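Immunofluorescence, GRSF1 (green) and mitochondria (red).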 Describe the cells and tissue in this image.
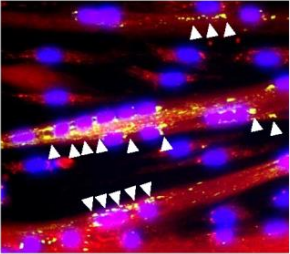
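Myotubes in culture: long, roughly parallel fibre-like cells crossing the field, several holding rows of closely spaced oval blue nuclei along their length. Red cytoplasmic fluorescence fills the fibres, strongest around the nuclear rows. Smaller mononucleated cells with less cytoplasm lie between the fibres. Background between cells is dark.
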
